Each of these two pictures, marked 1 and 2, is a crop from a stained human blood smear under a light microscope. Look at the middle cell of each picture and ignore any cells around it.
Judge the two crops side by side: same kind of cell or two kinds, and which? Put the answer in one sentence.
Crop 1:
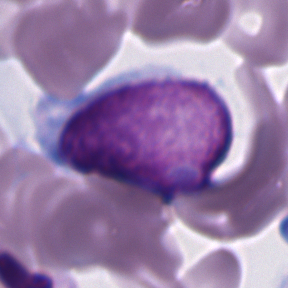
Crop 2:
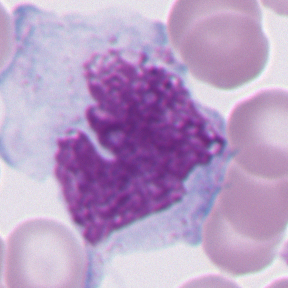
No, crop 1 and crop 2 show a myeloblast and a monocyte respectively.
